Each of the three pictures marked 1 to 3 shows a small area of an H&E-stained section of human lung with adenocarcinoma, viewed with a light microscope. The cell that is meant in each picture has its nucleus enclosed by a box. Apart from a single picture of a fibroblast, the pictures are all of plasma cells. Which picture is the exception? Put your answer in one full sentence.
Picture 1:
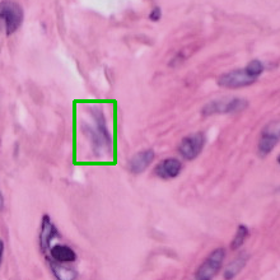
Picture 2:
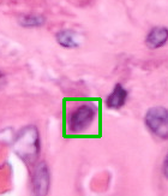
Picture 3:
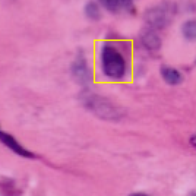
It is picture 1 that shows the fibroblast.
